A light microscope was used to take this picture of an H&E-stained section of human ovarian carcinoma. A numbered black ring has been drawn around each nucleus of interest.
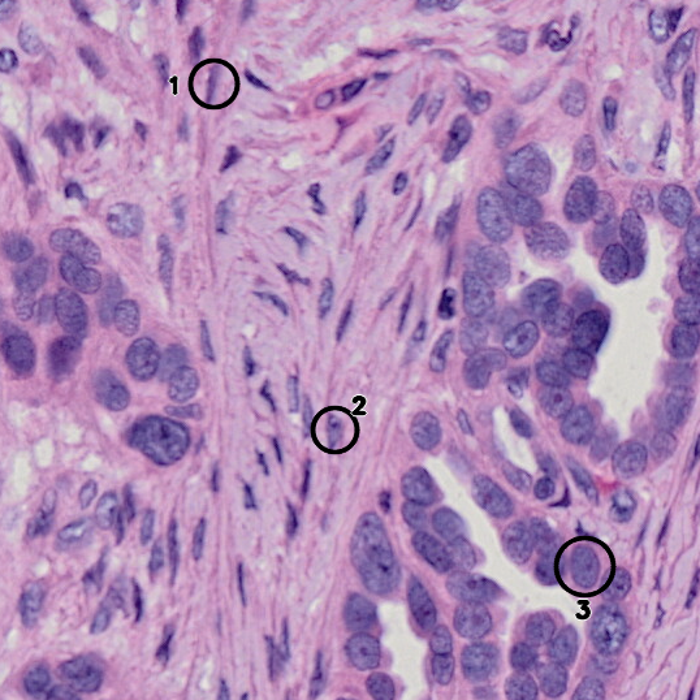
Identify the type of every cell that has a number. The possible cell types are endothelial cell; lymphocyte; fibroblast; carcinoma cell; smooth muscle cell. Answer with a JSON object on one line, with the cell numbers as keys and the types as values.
{"1": "fibroblast", "2": "fibroblast", "3": "carcinoma cell"}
